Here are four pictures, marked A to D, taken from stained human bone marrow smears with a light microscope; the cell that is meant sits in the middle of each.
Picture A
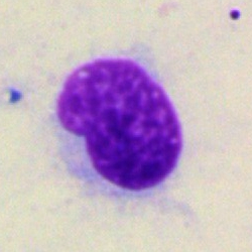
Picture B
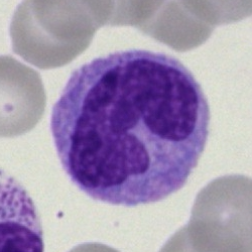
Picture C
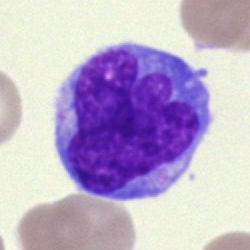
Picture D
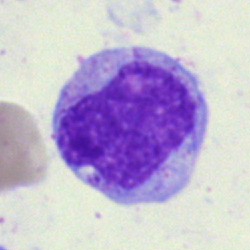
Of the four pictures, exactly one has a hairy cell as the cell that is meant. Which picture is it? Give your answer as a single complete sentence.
It is picture A that shows the hairy cell.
